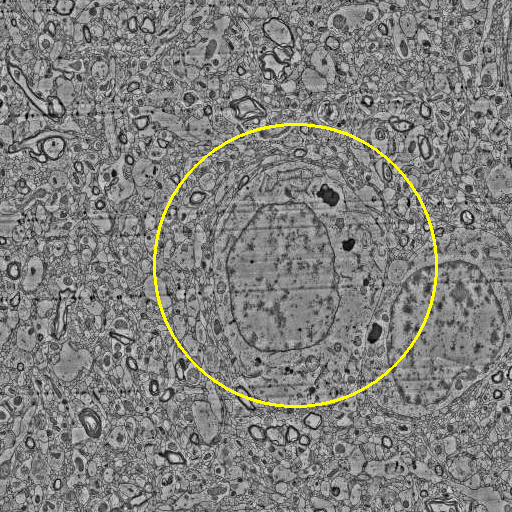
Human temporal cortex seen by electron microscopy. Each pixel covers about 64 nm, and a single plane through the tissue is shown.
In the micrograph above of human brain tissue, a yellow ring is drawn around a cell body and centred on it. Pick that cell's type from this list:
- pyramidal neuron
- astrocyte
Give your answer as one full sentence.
Going by the list, a pyramidal neuron is the cell on which the yellow ring is centred.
